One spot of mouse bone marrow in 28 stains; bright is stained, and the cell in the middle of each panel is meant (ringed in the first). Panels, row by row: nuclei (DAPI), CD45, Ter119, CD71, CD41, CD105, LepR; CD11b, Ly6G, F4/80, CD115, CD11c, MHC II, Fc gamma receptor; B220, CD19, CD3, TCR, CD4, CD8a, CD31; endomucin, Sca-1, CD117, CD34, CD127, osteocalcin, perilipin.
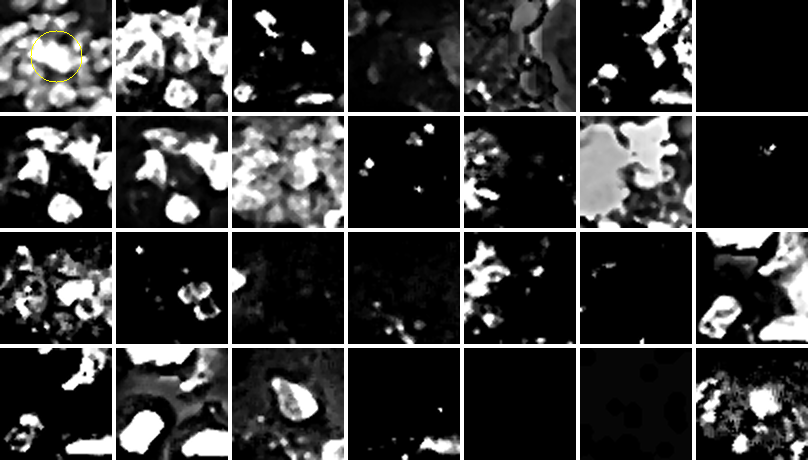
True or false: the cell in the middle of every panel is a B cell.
False; it is an erythroid progenitor (CFU-E).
